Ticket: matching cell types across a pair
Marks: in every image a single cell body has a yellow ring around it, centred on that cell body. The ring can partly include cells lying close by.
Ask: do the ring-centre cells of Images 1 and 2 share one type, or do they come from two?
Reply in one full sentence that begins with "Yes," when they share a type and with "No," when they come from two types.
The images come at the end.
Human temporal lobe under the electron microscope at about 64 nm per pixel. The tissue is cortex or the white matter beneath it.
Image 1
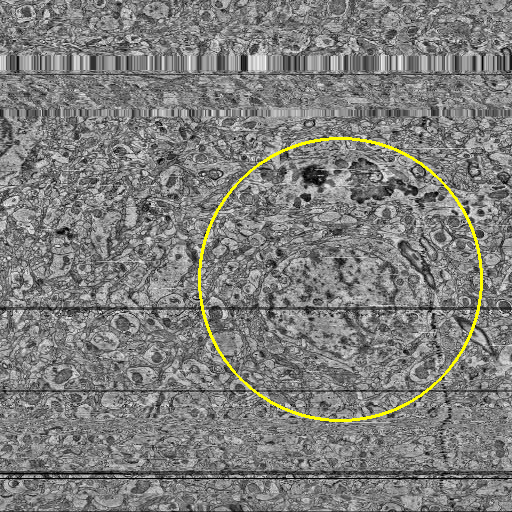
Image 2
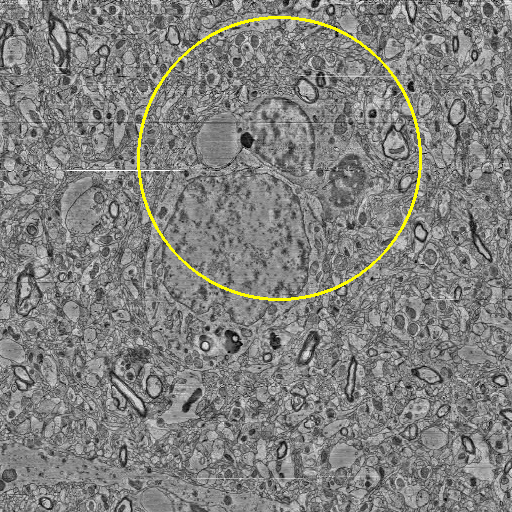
No, the cells in the centres of the rings in Image 1 and Image 2 come from two types.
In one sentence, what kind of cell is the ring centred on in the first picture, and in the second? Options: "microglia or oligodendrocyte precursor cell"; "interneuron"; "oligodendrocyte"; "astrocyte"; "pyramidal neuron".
The cell at the centre of the second ring is an oligodendrocyte; the first ring's cell is an interneuron.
